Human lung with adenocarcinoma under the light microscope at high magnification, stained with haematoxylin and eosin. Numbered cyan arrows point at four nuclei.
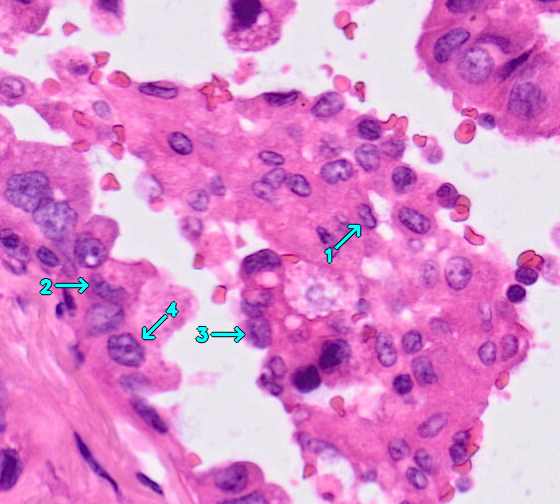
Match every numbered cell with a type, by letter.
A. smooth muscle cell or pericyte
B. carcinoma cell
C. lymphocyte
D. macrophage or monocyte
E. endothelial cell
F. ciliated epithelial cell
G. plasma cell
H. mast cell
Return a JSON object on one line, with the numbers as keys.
{"1": "D", "2": "B", "3": "B", "4": "B"}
